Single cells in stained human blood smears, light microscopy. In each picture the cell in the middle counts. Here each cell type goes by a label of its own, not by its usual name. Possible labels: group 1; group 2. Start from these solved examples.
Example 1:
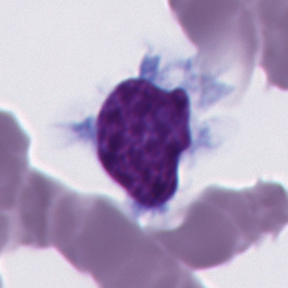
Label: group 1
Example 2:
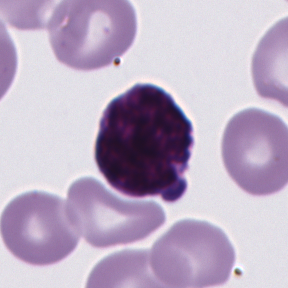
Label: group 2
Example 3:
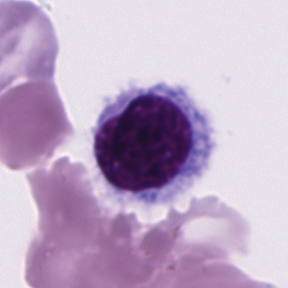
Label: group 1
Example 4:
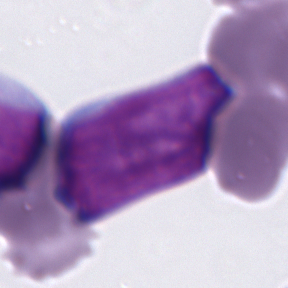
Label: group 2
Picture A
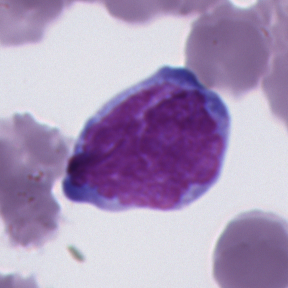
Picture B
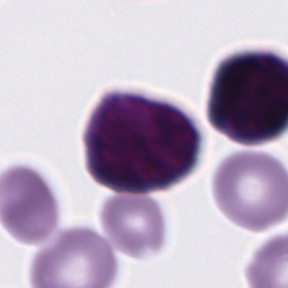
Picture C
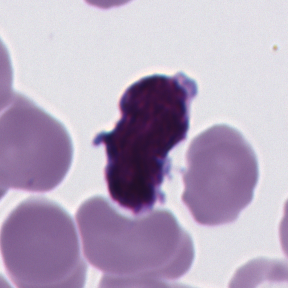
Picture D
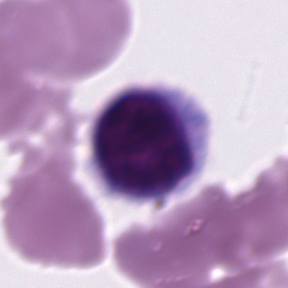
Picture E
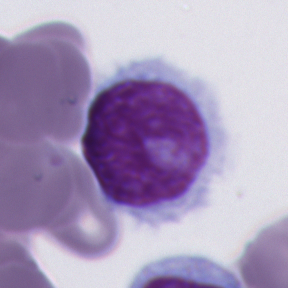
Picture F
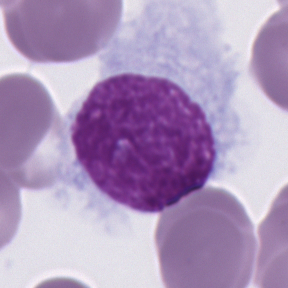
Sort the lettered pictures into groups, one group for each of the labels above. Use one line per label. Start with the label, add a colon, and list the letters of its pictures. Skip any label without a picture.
group 1: D, E, F
group 2: A, B, C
